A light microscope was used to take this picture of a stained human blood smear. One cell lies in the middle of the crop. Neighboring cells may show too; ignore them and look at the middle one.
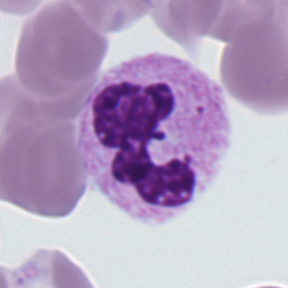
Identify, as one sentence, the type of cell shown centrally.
Regarding the central cell, it is a segmented neutrophil.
